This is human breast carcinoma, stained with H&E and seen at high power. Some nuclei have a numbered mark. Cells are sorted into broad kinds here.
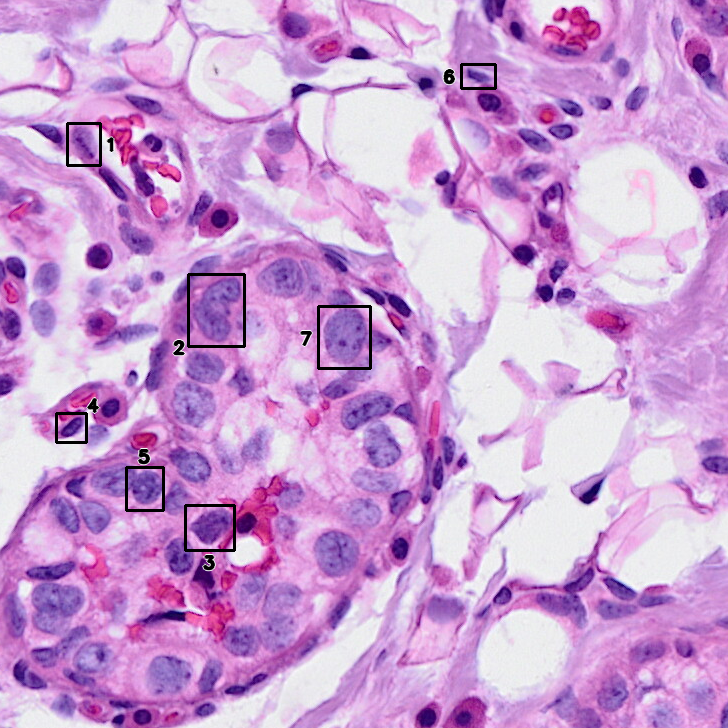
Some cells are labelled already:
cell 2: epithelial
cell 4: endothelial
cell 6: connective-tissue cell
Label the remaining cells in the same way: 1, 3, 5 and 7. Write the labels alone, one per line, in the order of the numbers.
endothelial
epithelial
epithelial
epithelial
